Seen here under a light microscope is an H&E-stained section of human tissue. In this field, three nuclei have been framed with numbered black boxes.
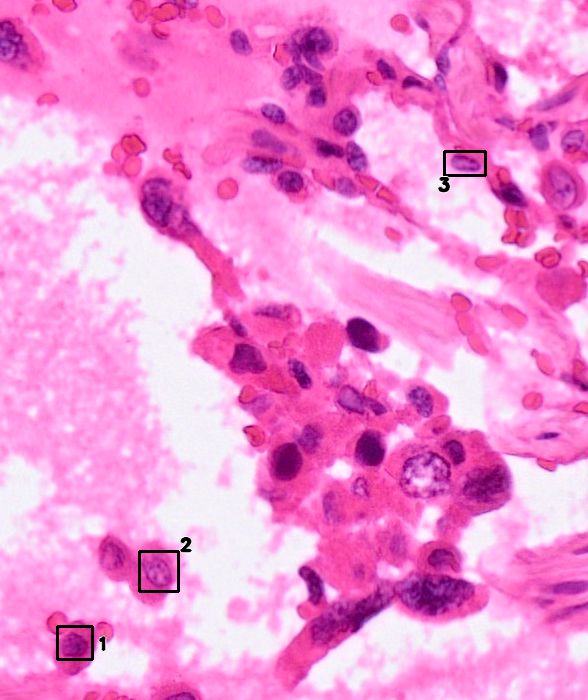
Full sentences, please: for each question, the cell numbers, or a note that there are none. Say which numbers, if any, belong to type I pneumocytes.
The one cell that is a type I pneumocyte is cell 3, and no other.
